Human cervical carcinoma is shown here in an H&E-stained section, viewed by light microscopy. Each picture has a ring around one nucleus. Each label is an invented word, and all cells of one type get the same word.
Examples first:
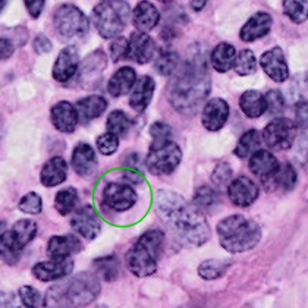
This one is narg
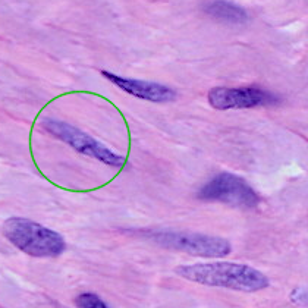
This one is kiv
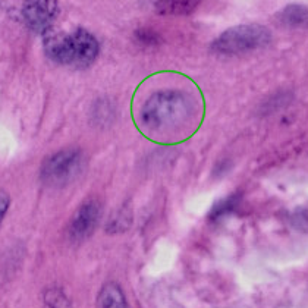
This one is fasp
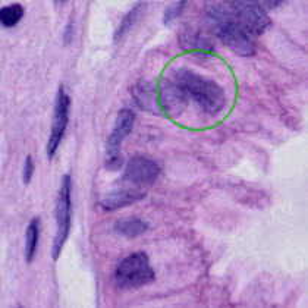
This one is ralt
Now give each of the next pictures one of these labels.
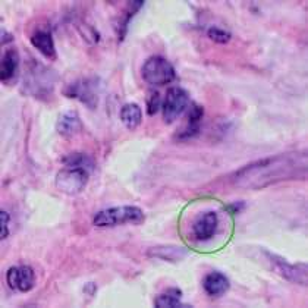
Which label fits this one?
narg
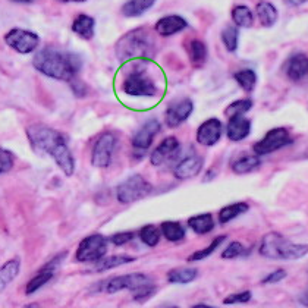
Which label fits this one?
narg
